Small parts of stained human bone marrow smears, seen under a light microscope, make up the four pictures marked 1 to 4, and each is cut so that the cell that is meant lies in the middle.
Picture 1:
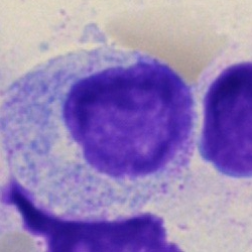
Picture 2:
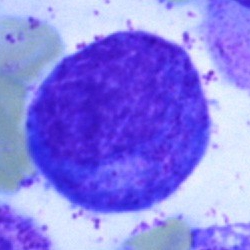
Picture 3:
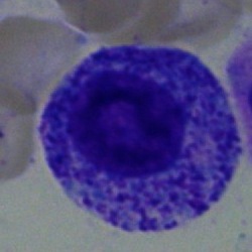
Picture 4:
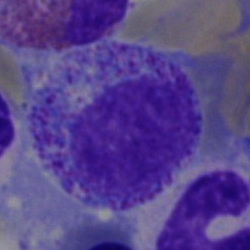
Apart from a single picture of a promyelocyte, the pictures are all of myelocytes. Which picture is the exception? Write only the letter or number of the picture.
2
